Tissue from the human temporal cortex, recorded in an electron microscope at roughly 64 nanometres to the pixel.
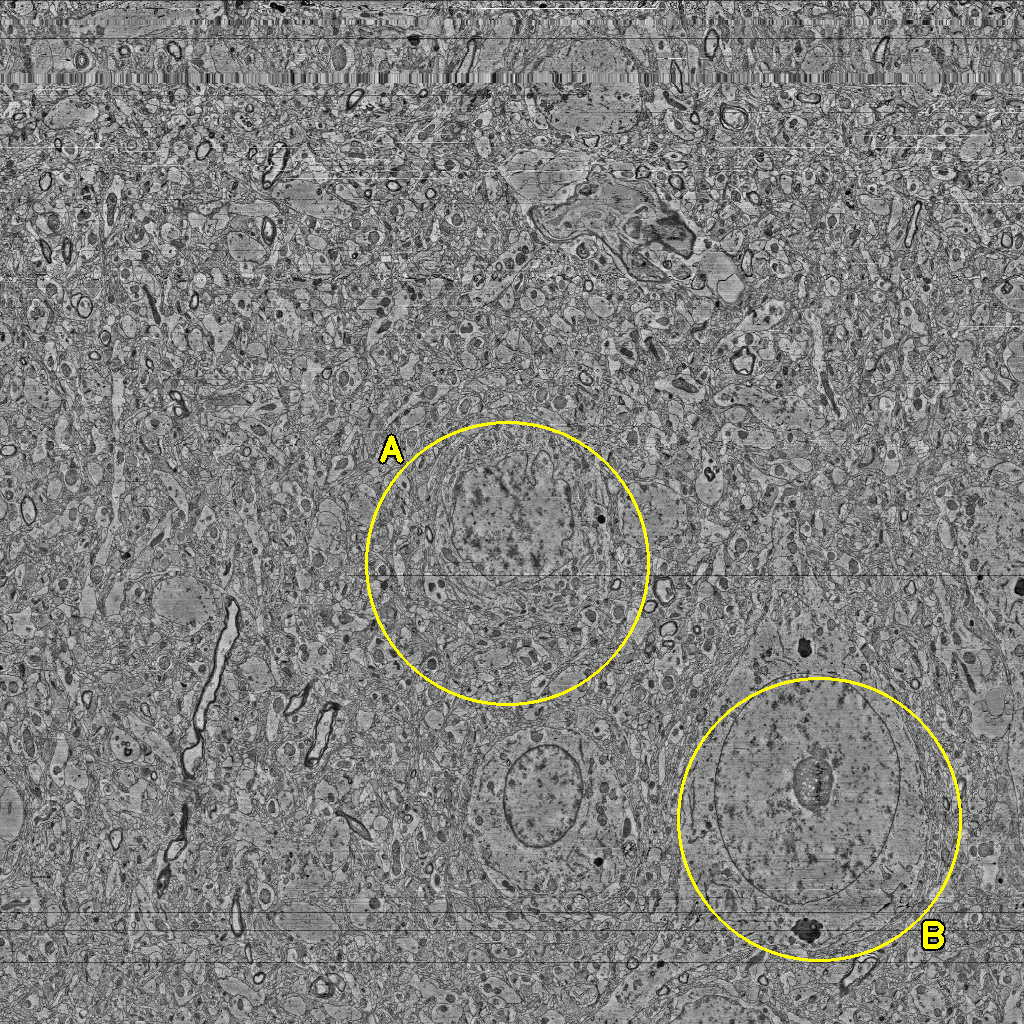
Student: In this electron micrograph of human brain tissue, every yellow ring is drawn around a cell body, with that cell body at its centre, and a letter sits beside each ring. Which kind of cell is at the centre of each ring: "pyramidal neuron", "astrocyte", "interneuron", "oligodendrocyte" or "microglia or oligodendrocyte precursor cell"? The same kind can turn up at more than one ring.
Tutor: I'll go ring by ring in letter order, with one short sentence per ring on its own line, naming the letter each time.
Ring A: the cell at its centre is an interneuron.
Ring B: the cell at its centre is a pyramidal neuron.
